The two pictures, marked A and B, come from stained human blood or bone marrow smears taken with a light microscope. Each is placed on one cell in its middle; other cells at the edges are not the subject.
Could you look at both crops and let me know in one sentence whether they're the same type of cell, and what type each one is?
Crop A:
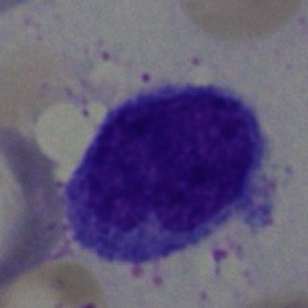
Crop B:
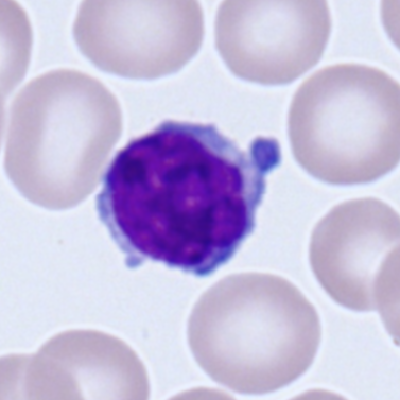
No, crop A is of a monocyte, and crop B is of a lymphocyte.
